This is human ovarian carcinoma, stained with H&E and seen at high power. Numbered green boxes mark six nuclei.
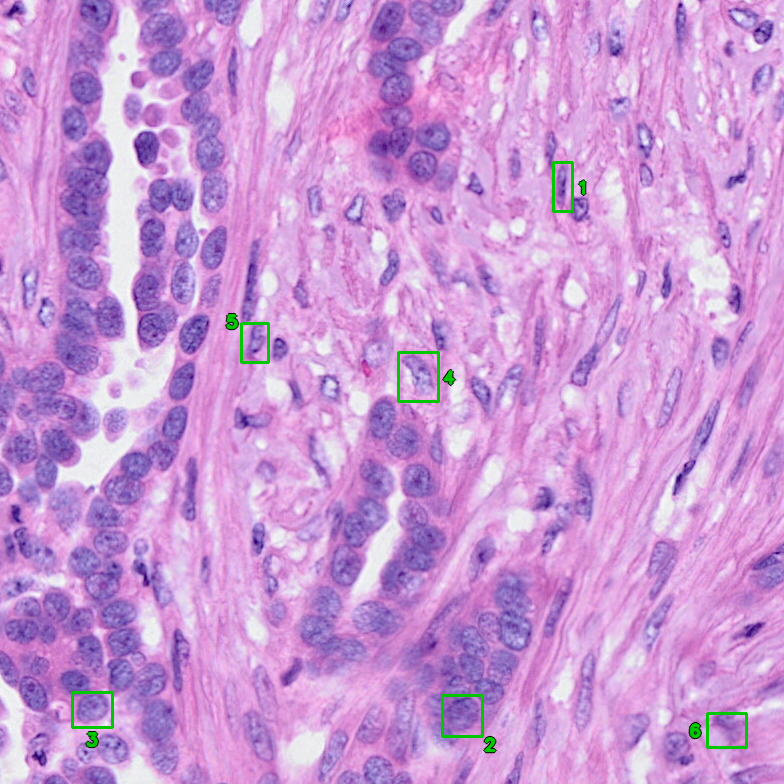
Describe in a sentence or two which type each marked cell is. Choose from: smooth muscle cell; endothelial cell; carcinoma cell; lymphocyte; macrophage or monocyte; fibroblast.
Cells 1, 4, 5 and 6 are fibroblasts. Cells 2 and 3 are carcinoma cells.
